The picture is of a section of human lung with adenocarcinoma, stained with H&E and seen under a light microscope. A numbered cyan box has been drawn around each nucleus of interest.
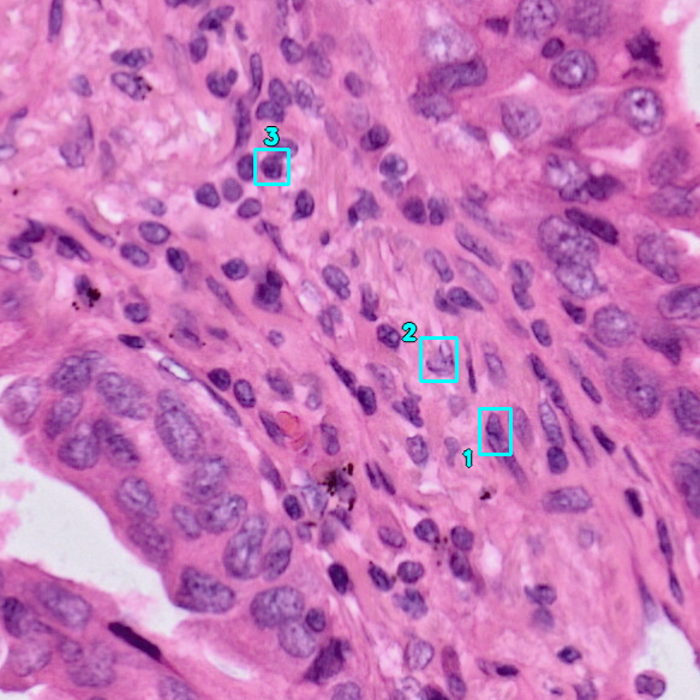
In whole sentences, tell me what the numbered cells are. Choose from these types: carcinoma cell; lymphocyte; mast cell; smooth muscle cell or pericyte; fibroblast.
Cell 1 is a smooth muscle cell or pericyte. Cell 2 is a fibroblast. Cell 3 is a lymphocyte.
